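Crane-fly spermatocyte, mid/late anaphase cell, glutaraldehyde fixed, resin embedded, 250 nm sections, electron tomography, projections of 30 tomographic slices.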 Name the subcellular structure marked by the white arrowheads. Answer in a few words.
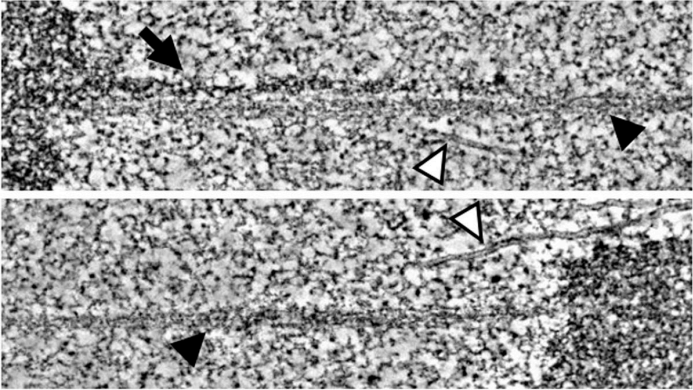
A: microtubule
